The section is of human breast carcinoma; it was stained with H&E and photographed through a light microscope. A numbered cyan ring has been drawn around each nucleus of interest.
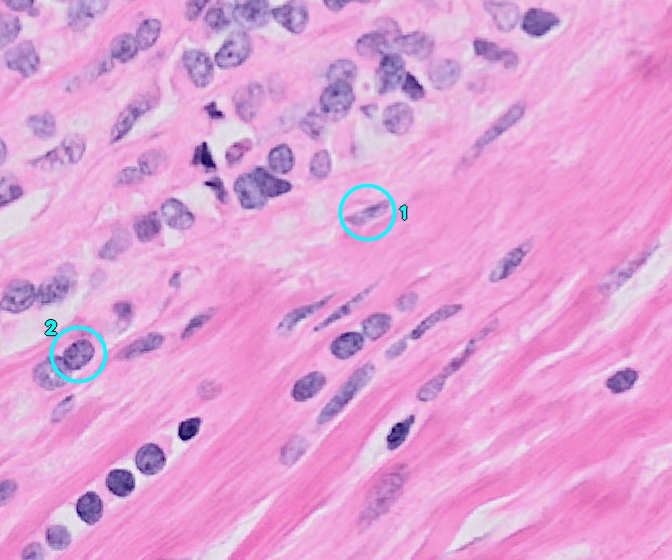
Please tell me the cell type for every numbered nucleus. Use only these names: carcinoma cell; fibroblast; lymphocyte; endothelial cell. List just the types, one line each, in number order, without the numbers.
fibroblast
carcinoma cell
